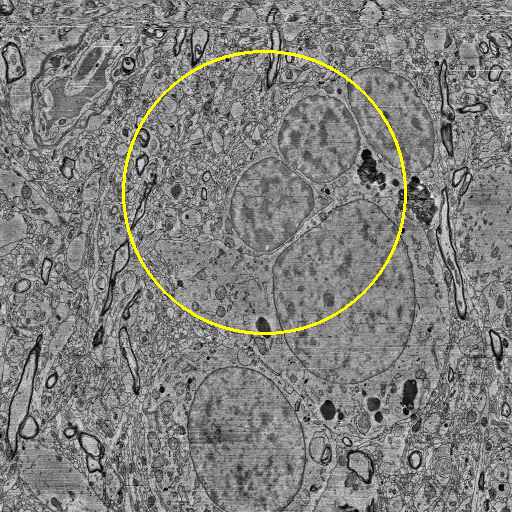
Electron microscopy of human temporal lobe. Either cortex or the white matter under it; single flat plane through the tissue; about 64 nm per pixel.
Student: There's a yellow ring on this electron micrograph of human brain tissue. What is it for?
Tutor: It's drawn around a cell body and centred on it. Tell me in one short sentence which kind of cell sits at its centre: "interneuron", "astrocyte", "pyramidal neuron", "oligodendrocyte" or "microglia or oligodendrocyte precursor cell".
The cell at the centre of the ring is an oligodendrocyte.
